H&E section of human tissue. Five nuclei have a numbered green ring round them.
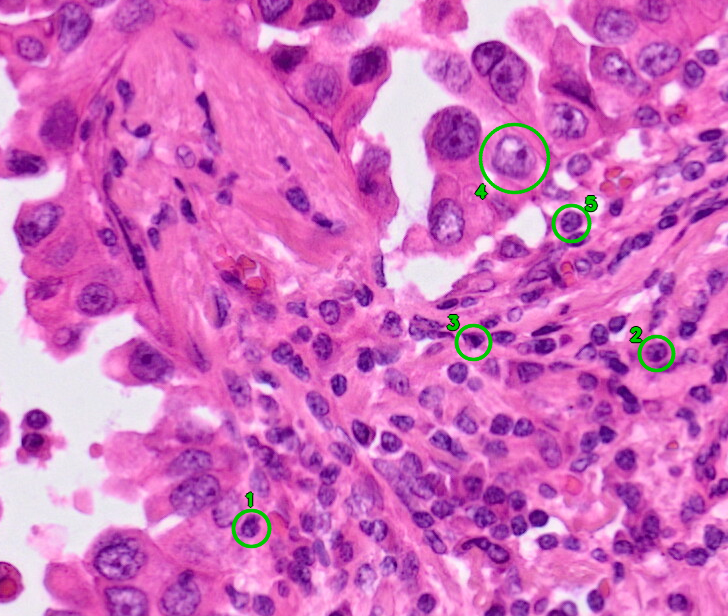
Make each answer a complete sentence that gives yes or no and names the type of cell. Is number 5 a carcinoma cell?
No, cell 5 is a lymphocyte, not a carcinoma cell.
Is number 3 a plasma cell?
No, the cell referred to as 3 is a lymphocyte, not a plasma cell.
